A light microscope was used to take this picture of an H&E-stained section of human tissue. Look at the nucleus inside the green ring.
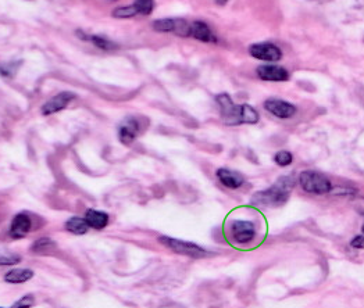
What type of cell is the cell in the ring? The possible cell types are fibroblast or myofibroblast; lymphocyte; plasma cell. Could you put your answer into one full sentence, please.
What the cell in the ring represents is a plasma cell.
